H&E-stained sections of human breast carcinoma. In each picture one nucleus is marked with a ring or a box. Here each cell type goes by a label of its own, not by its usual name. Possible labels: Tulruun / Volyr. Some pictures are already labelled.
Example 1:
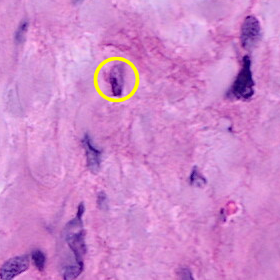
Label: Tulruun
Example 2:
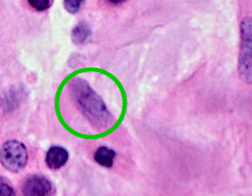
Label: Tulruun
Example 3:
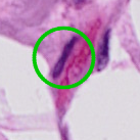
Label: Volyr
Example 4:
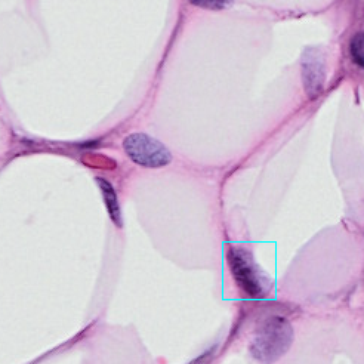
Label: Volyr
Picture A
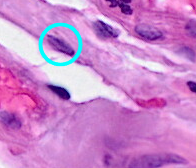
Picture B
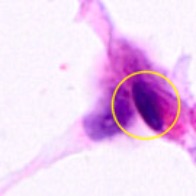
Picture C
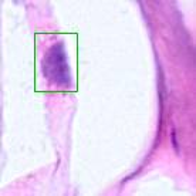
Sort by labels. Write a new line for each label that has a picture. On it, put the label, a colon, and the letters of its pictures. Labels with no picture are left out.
Tulruun: A
Volyr: B, C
